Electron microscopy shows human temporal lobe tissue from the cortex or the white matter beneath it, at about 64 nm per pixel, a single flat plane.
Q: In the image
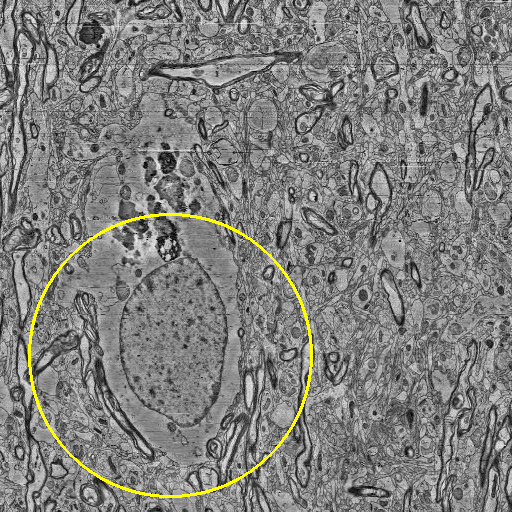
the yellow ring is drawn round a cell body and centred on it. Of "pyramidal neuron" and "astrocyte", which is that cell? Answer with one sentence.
The cell centred in the ring is an astrocyte.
